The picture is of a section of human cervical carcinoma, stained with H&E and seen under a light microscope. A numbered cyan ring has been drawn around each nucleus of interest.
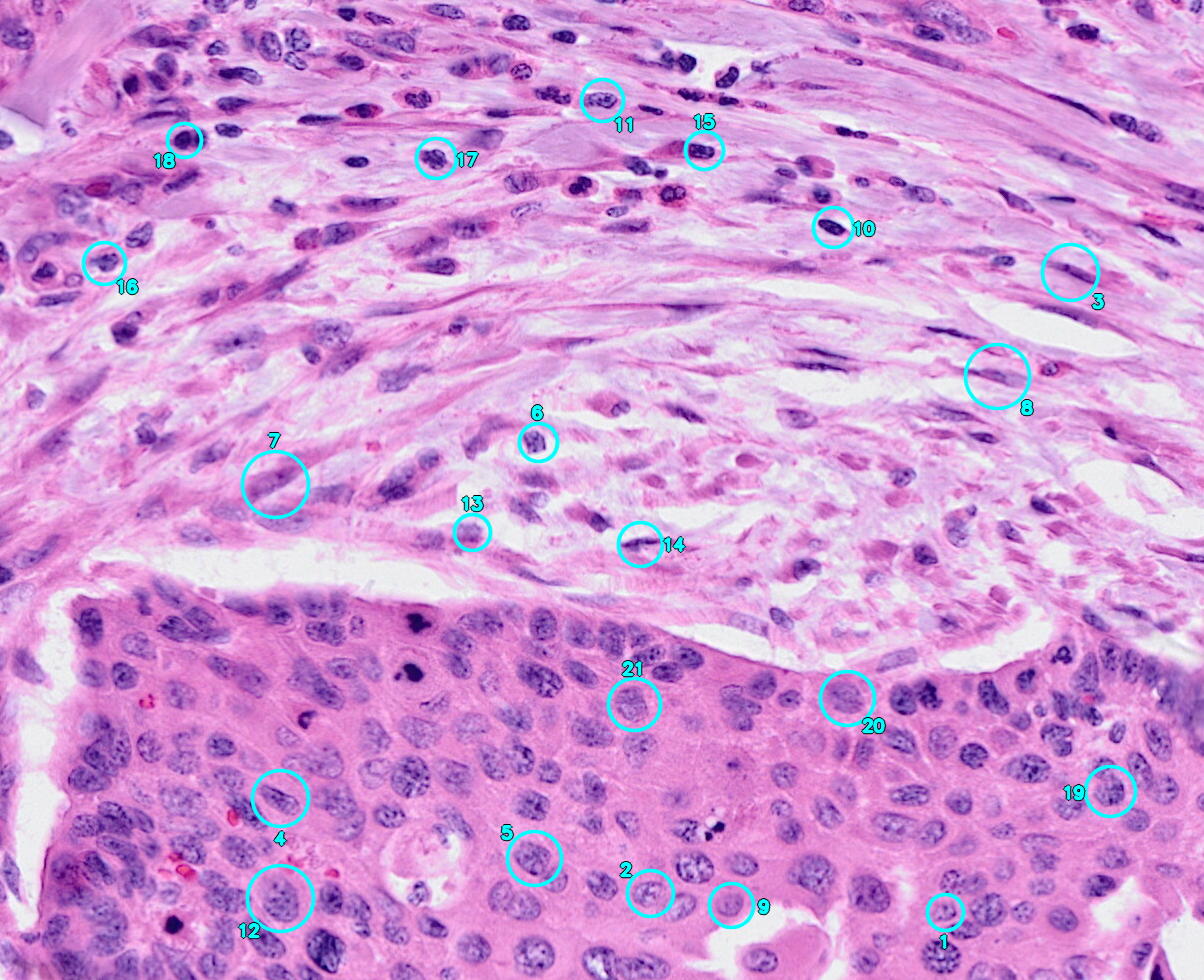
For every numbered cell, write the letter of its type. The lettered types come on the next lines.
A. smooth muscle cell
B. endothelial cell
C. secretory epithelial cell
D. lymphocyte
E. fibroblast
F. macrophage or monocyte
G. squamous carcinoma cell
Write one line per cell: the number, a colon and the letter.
1: G
2: G
3: E
4: G
5: G
6: D
7: E
8: E
9: G
10: D
11: D
12: G
13: E
14: E
15: D
16: D
17: D
18: D
19: G
20: G
21: G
